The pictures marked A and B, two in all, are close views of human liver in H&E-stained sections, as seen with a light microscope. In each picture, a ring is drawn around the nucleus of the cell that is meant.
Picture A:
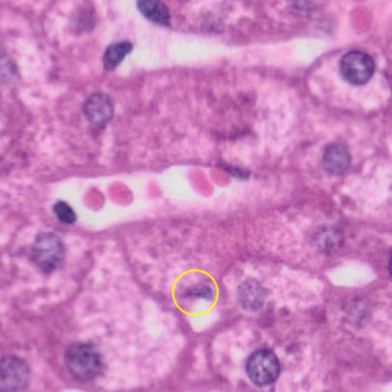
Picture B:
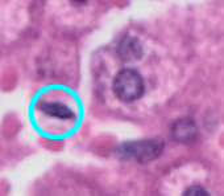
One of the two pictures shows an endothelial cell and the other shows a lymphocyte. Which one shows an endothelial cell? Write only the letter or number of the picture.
A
